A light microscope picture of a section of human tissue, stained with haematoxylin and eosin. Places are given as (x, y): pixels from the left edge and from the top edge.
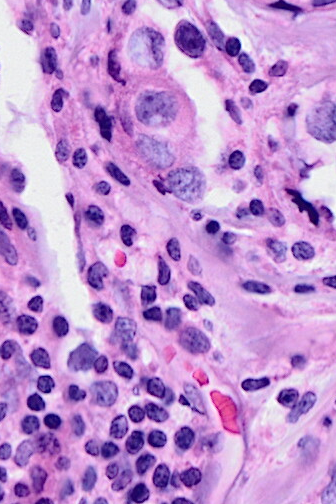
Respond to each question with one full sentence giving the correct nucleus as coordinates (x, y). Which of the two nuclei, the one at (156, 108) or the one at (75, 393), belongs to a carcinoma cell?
Of the two nuclei, the one sitting at (156, 108) belongs to a carcinoma cell.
